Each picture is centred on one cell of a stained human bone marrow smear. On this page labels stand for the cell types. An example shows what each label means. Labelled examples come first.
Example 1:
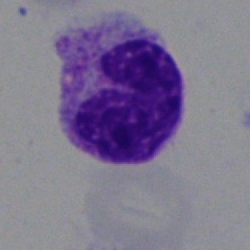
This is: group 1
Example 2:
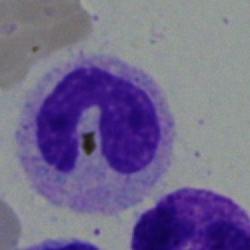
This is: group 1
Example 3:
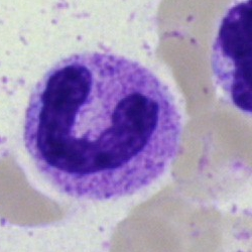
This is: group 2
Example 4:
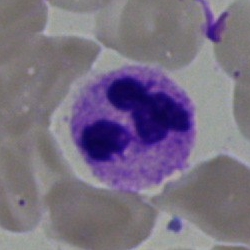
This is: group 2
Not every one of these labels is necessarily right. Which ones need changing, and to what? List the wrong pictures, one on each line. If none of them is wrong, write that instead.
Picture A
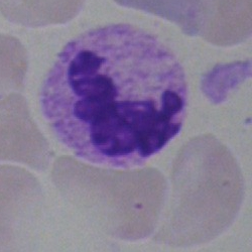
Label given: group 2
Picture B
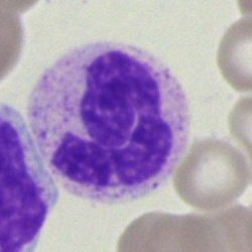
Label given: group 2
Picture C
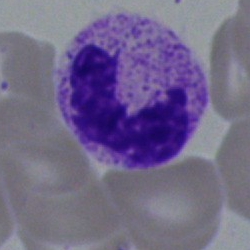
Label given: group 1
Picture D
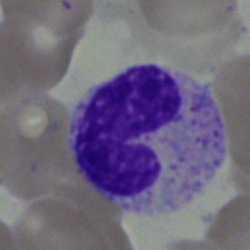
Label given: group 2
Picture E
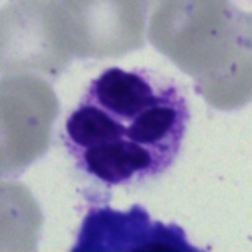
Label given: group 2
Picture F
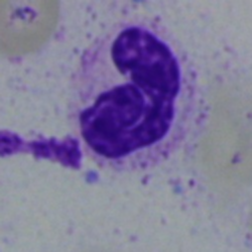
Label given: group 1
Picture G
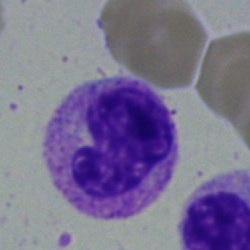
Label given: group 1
D is labelled group 2; correct label: group 1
